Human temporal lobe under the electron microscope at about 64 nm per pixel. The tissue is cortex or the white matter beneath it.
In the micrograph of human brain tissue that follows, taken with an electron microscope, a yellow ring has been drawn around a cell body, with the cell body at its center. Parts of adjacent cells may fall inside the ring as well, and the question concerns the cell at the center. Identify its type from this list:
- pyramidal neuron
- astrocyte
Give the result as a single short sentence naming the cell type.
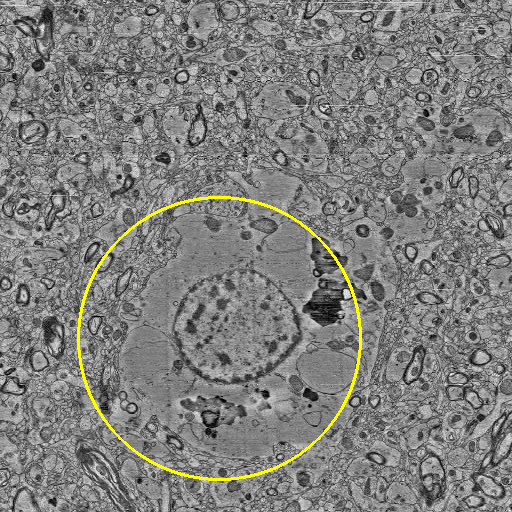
The ring is centered on an astrocyte.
